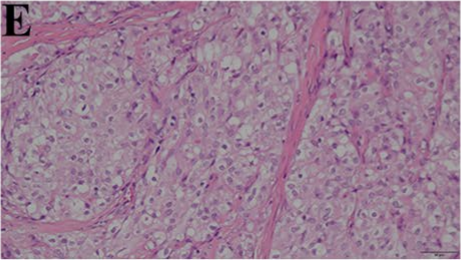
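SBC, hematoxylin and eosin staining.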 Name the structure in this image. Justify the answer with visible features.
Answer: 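Fibrous septum. Bands of pink fibrous tissue run across the field. The bands divide sheets of pale tumour cells into nests.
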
